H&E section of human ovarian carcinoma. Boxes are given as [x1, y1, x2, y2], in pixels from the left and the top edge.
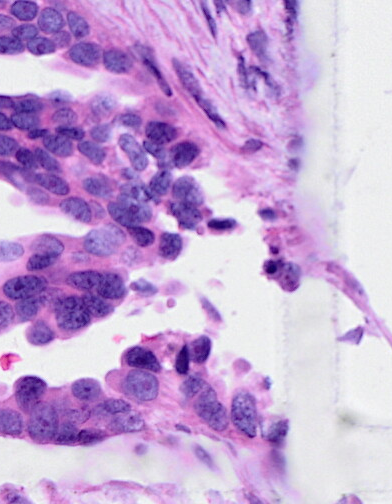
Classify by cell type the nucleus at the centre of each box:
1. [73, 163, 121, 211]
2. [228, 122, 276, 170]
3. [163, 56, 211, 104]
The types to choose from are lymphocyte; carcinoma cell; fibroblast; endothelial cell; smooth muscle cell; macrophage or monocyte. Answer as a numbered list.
1. carcinoma cell
2. fibroblast
3. fibroblast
